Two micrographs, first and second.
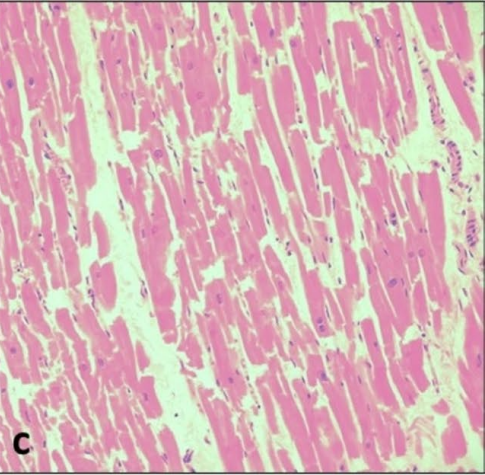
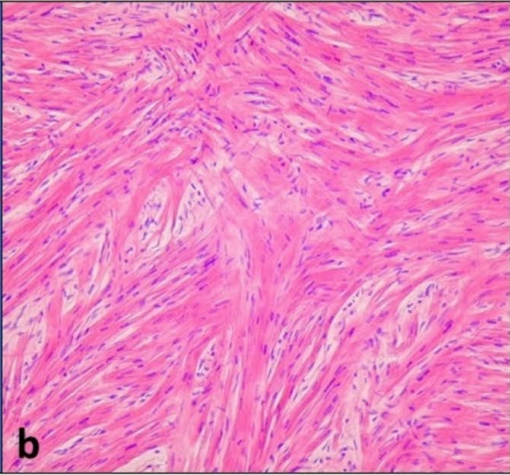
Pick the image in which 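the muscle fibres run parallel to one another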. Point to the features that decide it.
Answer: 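Second image: fibres and bundles run in many directions, interweaving and crossing in whorls. First image: fibres run side by side in one diagonal direction.
Hence: the first image.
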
